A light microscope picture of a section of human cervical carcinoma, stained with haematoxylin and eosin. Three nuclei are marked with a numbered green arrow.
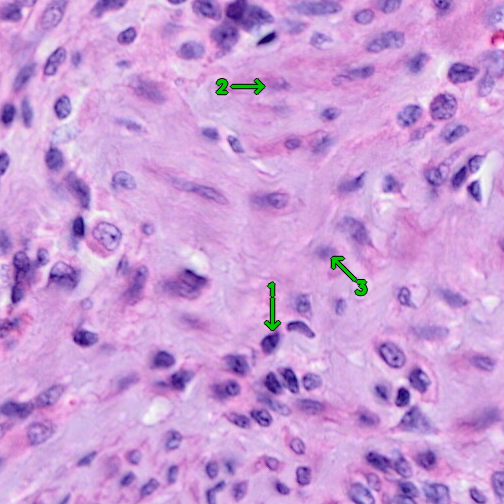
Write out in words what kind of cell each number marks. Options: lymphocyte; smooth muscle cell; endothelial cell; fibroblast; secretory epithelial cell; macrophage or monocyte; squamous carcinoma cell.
Cell 1 is a lymphocyte. Cell 2 is a smooth muscle cell. Cell 3 is a fibroblast.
